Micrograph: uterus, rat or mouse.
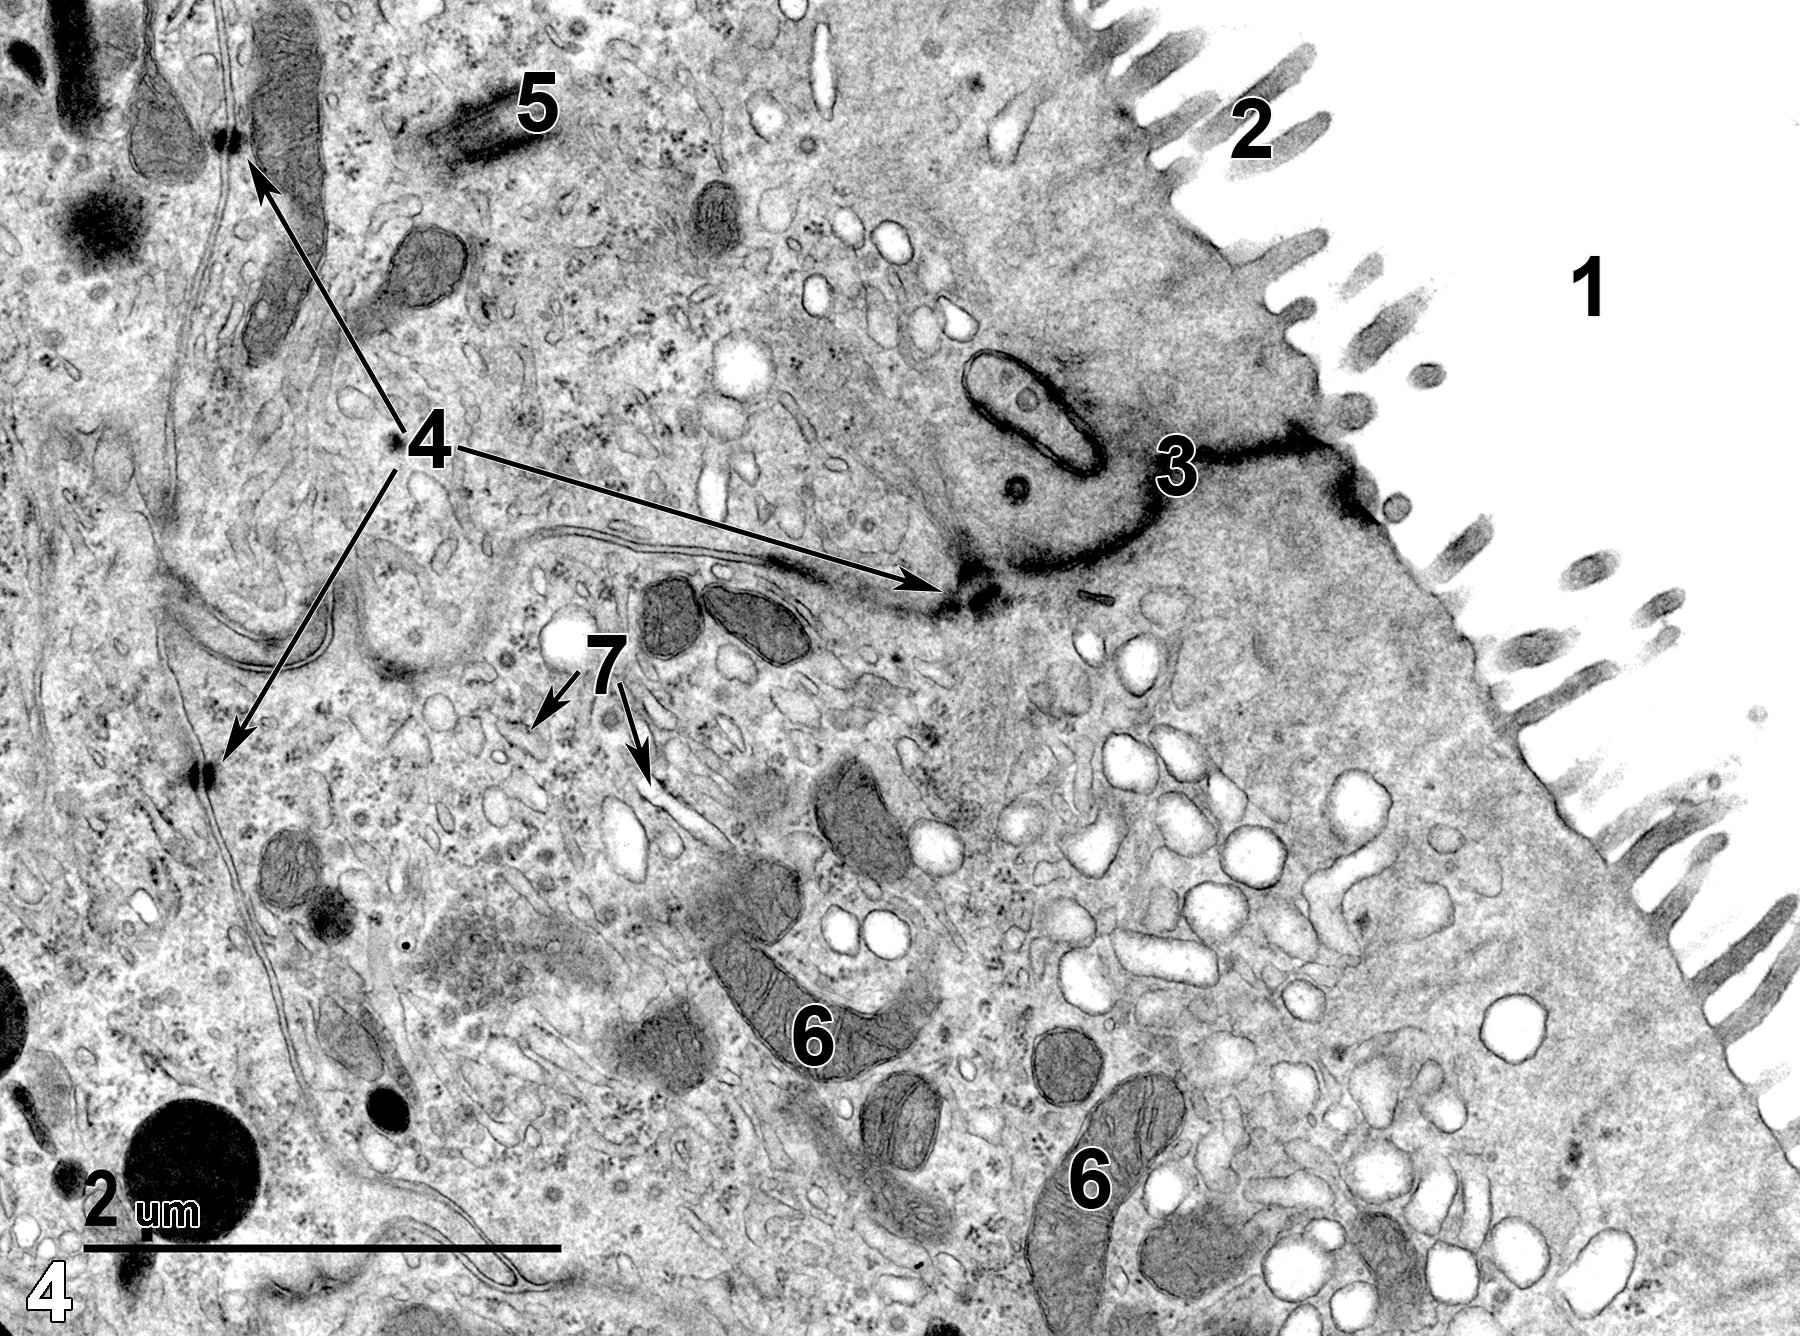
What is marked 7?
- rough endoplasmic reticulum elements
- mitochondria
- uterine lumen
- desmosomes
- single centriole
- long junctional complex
rough endoplasmic reticulum elements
